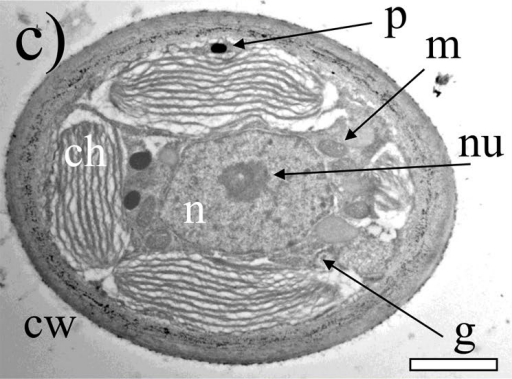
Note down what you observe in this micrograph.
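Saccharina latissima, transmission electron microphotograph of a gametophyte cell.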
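Single oval algal cell in section, enclosed by a thick, multilayered cell wall. A large central nucleus holds a dense, rounded nucleolus. Several chloroplasts with tightly stacked parallel thylakoid lamellae lie around the nucleus toward the periphery. Small round organelles sit between the nucleus and the chloroplasts, and a few small very electron-dense bodies lie in the cytoplasm near the wall and beside the nucleus.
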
